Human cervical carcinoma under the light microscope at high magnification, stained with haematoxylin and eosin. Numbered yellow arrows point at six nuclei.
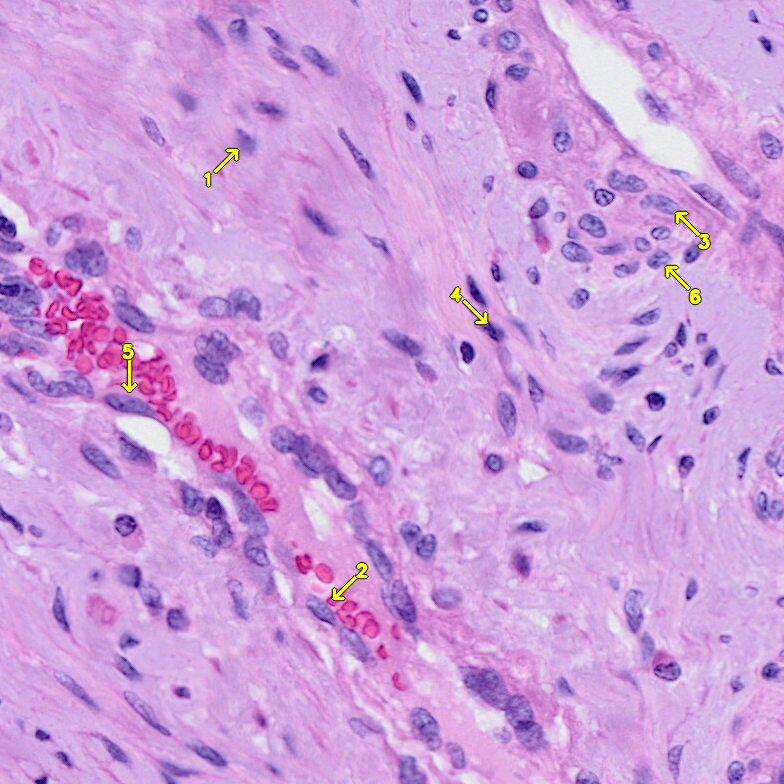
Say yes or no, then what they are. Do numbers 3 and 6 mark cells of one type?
Yes, cells 3 and 6 are both termed smooth muscle cells.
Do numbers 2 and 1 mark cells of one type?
No, cell 2 is an endothelial cell whereas cell 1 is a fibroblast.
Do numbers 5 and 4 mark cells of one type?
Yes, note that cells 5 and 4 are both endothelial cells.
